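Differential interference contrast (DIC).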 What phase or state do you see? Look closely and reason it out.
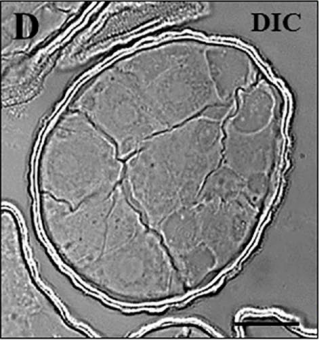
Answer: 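Proembryo. An oval body divided by walls into several cells. The group of cells is enclosed within a thick outer wall.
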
